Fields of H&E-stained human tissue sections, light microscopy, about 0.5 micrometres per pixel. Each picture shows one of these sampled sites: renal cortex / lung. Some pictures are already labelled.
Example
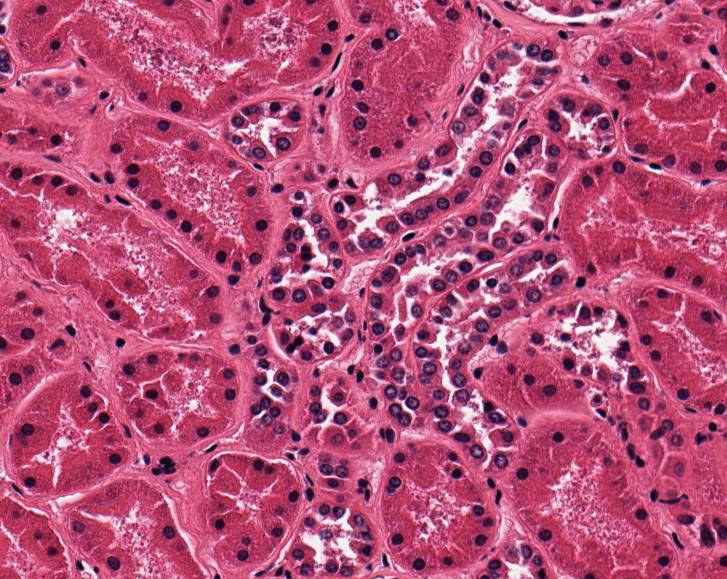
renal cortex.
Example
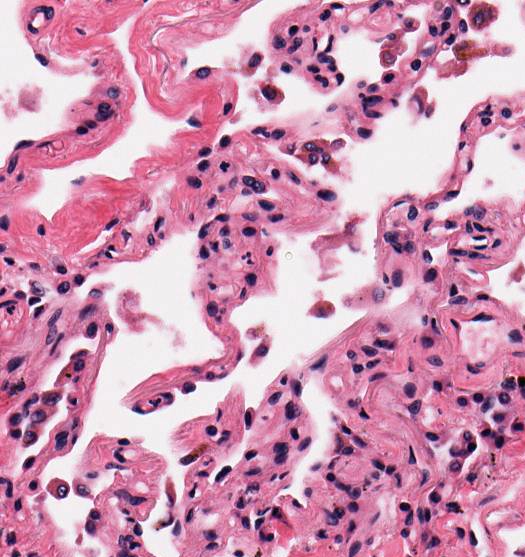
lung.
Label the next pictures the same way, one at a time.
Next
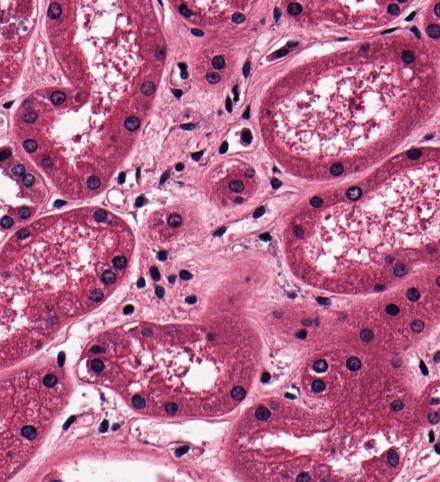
renal cortex.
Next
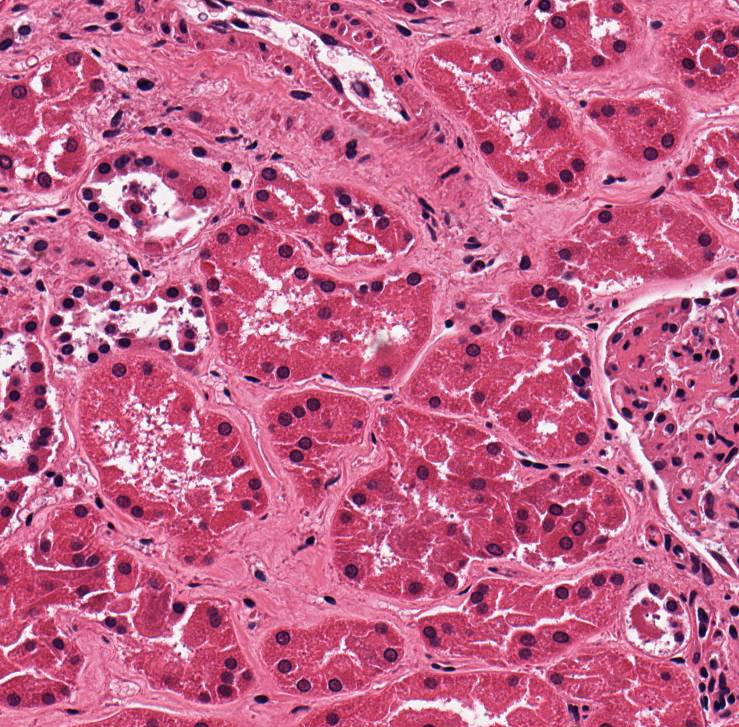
renal cortex.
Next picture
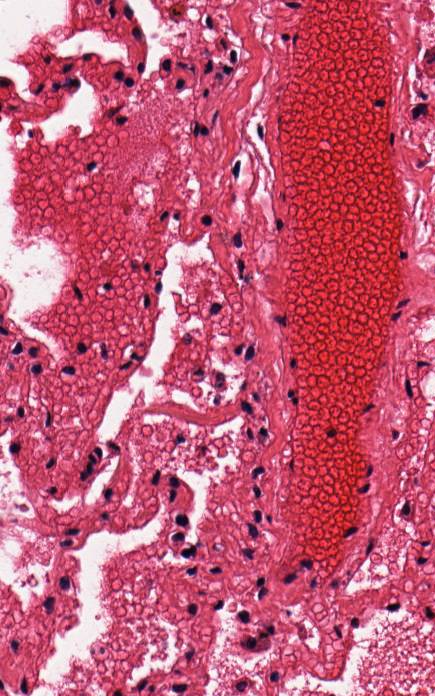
lung.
